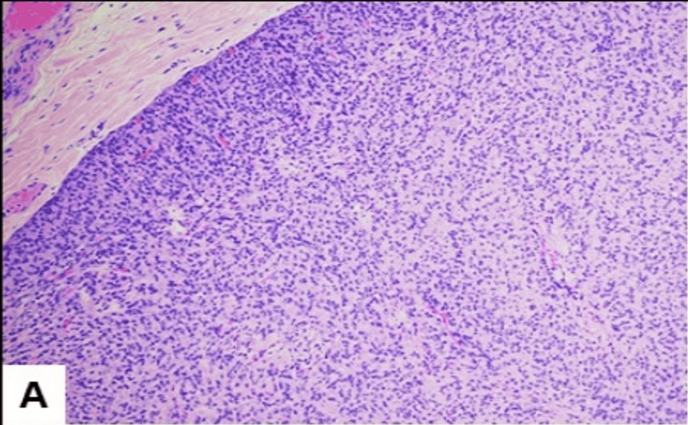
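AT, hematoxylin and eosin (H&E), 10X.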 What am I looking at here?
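This low-power view shows a well-circumscribed cellular nodule. At the upper left, pink fibrous tissue with a few vessels lies beside the lesion, separated from it by a sharp, smooth border. Paler pink stroma and small vessels run between the cell groups. The cells near the border look more crowded than those in the centre.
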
